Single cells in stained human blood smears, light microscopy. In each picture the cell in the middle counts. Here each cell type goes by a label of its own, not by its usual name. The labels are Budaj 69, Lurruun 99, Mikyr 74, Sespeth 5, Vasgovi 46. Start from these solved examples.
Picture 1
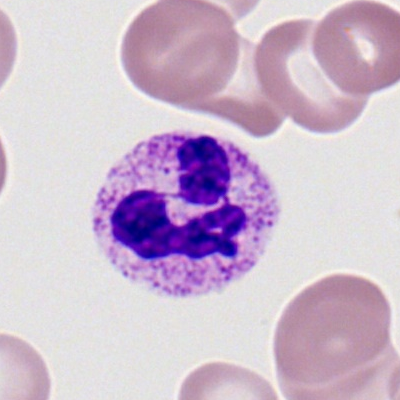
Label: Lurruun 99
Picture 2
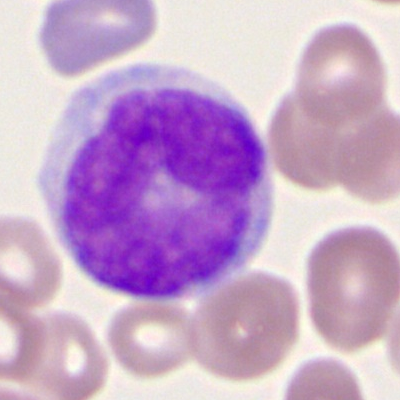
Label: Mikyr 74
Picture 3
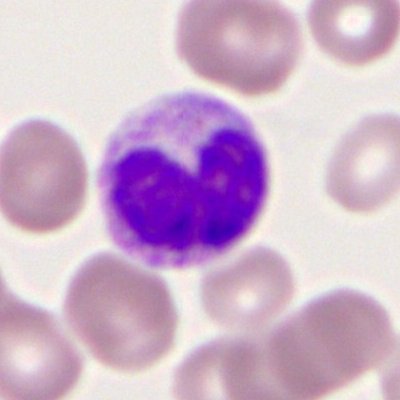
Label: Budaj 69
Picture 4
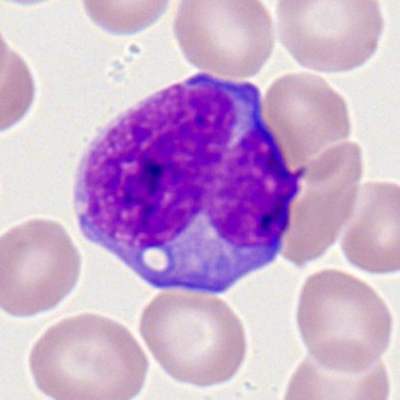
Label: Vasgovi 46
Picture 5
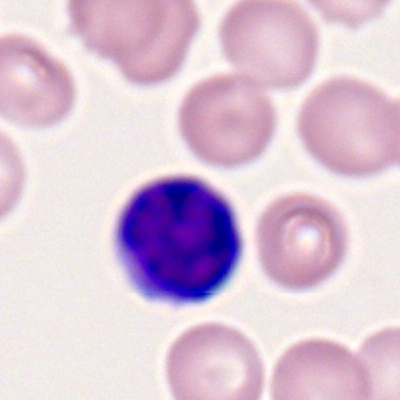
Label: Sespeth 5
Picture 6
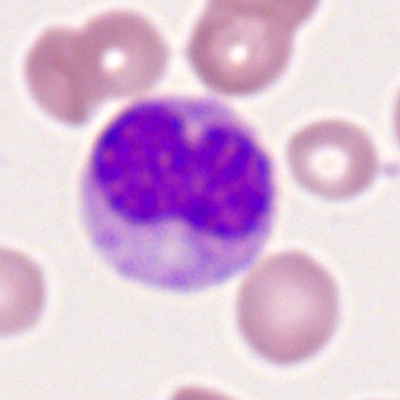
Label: Budaj 69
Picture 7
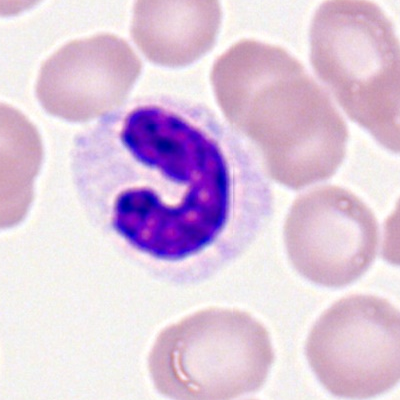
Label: Budaj 69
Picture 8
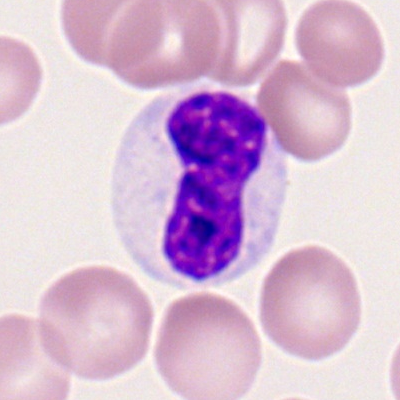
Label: Budaj 69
